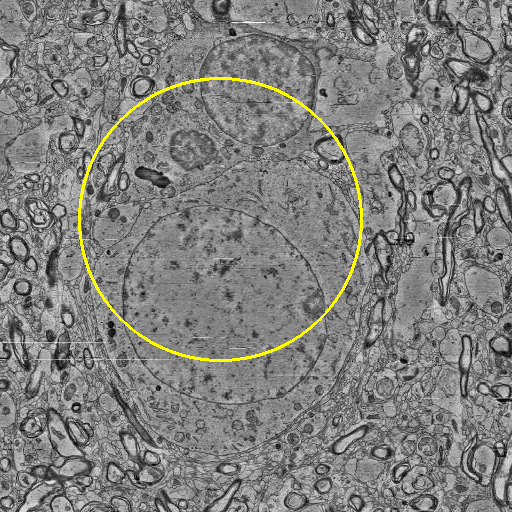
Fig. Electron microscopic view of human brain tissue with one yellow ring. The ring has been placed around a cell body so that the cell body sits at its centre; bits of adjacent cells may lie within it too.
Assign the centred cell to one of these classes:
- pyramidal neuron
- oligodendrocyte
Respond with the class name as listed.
pyramidal neuron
